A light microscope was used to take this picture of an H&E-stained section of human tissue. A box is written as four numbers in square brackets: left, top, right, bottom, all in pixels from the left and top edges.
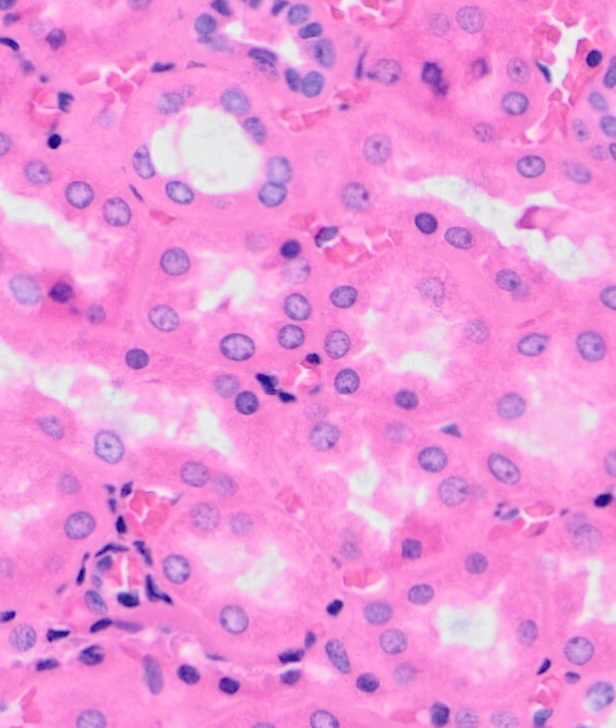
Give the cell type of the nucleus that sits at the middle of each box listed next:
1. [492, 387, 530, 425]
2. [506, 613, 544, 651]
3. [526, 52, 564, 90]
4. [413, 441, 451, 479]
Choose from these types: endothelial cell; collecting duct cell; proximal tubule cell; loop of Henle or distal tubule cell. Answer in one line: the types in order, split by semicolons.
proximal tubule cell; proximal tubule cell; endothelial cell; proximal tubule cell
